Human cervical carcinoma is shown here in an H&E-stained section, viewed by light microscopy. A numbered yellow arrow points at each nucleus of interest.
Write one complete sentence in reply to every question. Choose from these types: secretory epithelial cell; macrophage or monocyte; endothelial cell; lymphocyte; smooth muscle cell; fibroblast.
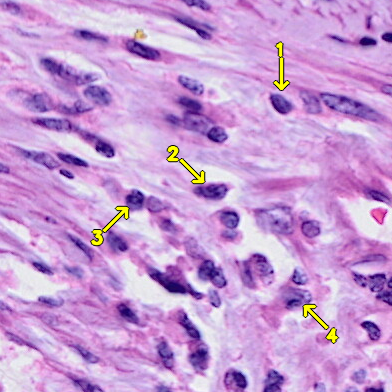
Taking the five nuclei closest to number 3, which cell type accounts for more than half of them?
Of the five nuclei nearest to number 3, most belong to macrophages or monocytes.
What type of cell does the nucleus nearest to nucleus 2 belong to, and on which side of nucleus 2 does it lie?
The closest nucleus belongs to a lymphocyte and sits below and to the right of nucleus 2.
